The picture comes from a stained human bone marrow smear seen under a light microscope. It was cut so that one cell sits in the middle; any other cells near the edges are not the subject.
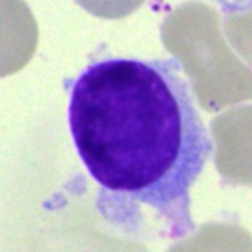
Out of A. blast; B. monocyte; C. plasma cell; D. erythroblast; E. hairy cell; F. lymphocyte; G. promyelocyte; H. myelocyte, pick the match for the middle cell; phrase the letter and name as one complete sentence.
The cell in the middle is a hairy cell, so option E is correct.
